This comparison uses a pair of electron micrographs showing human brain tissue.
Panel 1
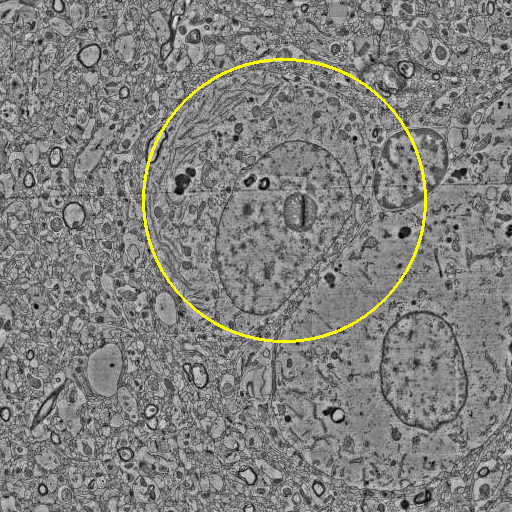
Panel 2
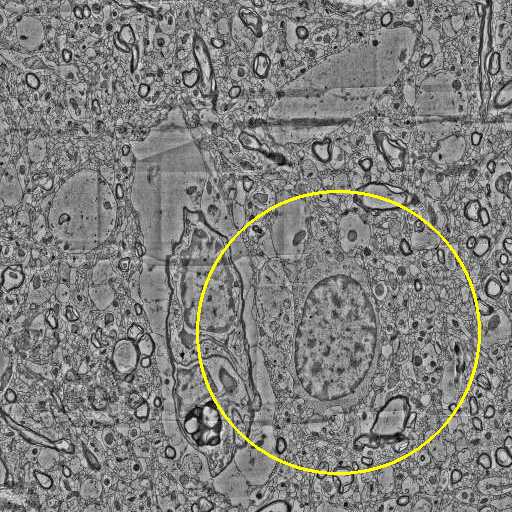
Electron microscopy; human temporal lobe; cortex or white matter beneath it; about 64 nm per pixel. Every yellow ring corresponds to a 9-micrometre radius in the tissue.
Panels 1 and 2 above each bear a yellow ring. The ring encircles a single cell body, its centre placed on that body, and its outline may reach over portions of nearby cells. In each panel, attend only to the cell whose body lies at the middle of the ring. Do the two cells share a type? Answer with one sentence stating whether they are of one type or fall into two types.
In Panel 1 and Panel 2, the cells at the centres of the rings fall into two types.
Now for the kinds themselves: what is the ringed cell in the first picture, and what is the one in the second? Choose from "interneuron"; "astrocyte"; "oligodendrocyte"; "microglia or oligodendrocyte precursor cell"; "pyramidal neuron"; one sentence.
Here the first cell is an interneuron and the second cell is an oligodendrocyte.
